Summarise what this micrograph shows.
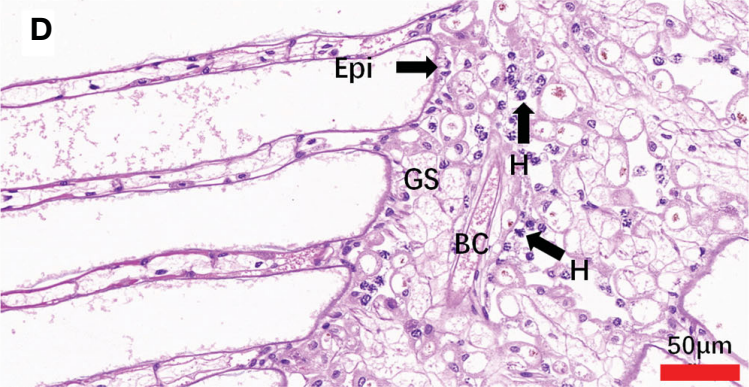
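This is the base of crustacean gill lamellae where they join the gill stem. Each lamella is a thin double sheet of flattened epithelium with small dark nuclei, enclosing a narrow space. The stem itself is loose tissue of many rounded, pale, vacuolated cells, crossed by a narrow blood channel, with clusters of cells bearing dark, clumped nuclei scattered among them.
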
